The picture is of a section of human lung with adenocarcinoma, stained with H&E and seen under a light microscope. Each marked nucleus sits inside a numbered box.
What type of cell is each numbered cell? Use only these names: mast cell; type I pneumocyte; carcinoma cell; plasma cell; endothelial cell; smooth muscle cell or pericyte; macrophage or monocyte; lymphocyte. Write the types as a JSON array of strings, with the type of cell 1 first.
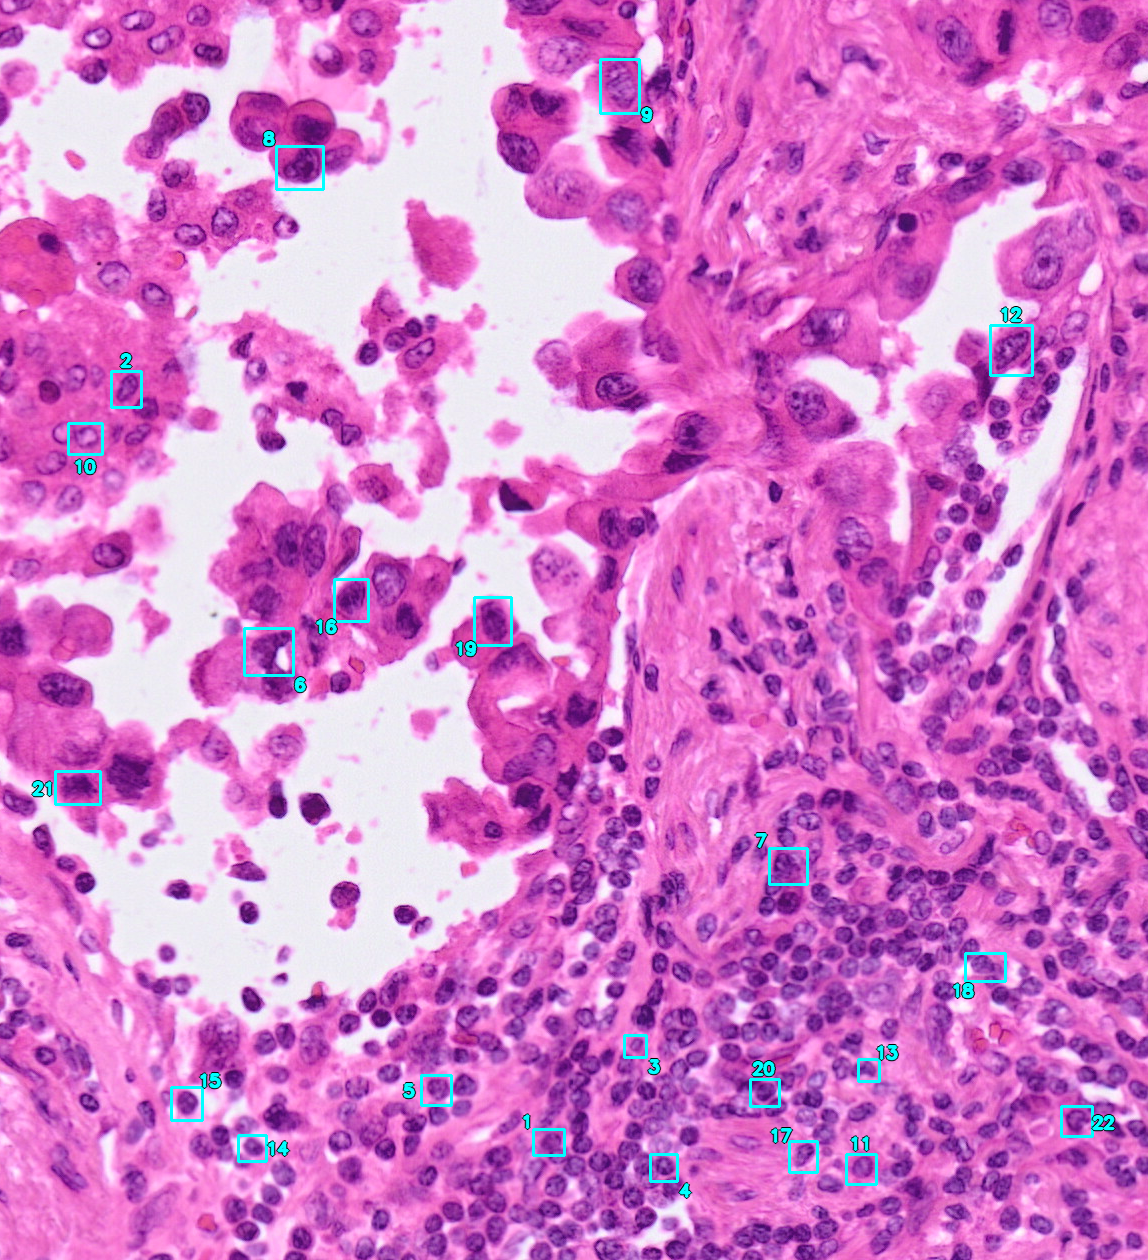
["lymphocyte", "macrophage or monocyte", "lymphocyte", "lymphocyte", "lymphocyte", "carcinoma cell", "plasma cell", "carcinoma cell", "carcinoma cell", "macrophage or monocyte", "mast cell", "carcinoma cell", "lymphocyte", "lymphocyte", "lymphocyte", "carcinoma cell", "lymphocyte", "lymphocyte", "carcinoma cell", "lymphocyte", "carcinoma cell", "plasma cell"]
